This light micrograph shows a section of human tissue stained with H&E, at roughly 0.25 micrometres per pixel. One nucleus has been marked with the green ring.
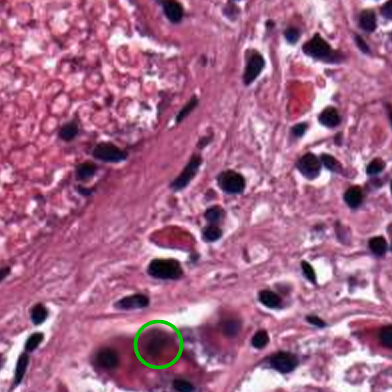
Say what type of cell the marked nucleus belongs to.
parietal cell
